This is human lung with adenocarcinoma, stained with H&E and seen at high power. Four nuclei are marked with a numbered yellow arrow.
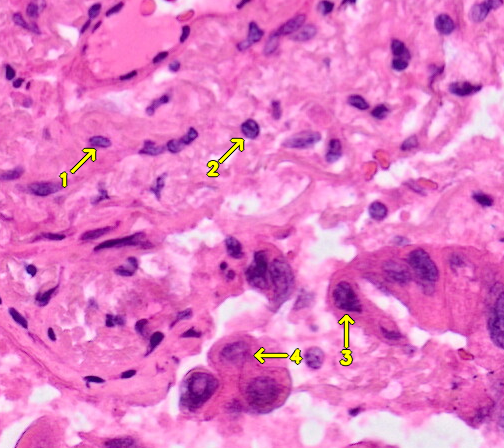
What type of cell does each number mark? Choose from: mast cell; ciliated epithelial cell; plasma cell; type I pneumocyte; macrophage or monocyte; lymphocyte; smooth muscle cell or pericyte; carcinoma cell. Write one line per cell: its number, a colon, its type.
1: smooth muscle cell or pericyte
2: lymphocyte
3: carcinoma cell
4: carcinoma cell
